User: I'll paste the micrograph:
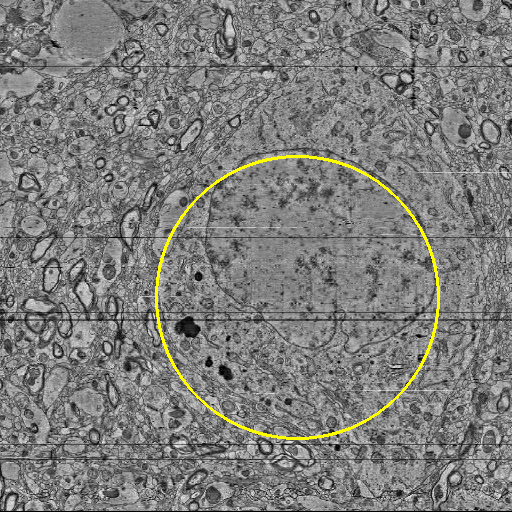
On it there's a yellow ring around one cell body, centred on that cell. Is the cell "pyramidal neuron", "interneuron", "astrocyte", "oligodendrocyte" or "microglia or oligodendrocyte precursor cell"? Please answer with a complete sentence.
The cell ringed in yellow is a pyramidal neuron.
